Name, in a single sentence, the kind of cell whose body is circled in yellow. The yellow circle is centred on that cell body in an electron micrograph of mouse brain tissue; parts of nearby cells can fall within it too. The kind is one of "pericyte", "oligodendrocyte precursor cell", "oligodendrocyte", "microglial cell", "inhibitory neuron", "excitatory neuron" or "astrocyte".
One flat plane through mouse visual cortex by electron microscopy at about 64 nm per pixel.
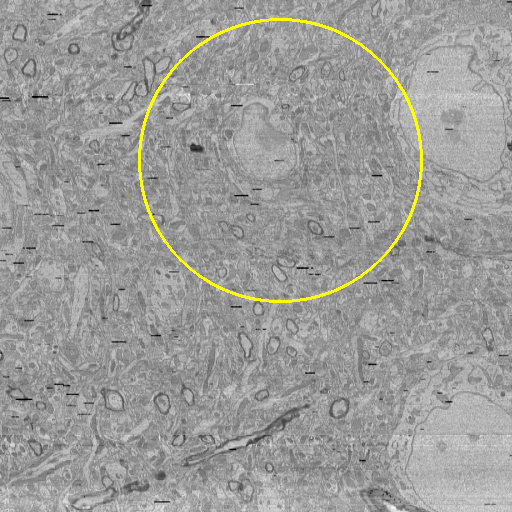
The circled cell body belongs to an oligodendrocyte precursor cell.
